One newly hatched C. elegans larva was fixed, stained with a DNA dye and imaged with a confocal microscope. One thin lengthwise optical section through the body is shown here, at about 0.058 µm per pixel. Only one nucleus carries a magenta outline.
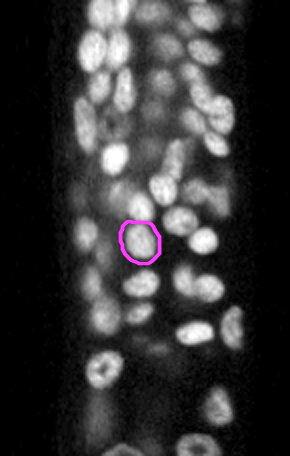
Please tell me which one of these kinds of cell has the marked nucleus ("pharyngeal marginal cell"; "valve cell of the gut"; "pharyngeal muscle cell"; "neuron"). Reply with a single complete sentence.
It is the nucleus of a pharyngeal muscle cell.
